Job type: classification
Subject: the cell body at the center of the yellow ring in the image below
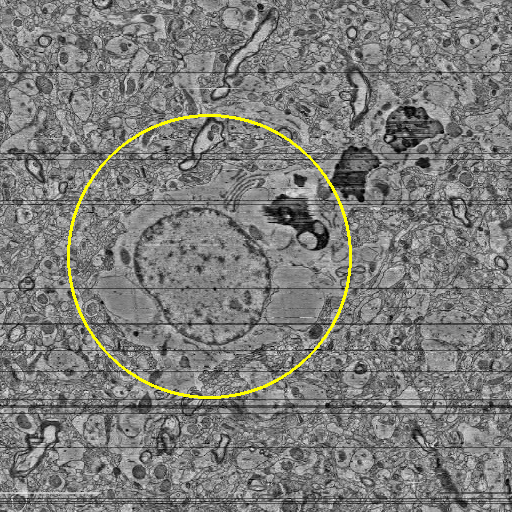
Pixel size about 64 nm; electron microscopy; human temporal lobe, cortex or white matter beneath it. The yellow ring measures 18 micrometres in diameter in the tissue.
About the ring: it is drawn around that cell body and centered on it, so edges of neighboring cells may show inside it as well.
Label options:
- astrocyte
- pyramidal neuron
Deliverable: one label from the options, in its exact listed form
astrocyte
